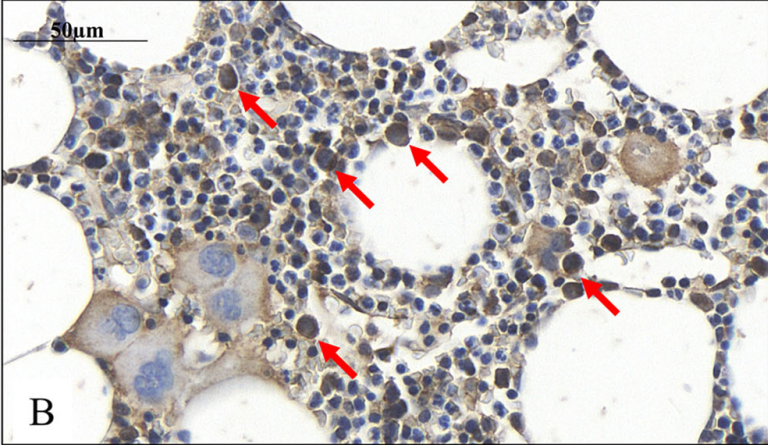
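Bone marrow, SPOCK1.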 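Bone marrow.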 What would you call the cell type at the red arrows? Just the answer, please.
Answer: Normoblasts.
